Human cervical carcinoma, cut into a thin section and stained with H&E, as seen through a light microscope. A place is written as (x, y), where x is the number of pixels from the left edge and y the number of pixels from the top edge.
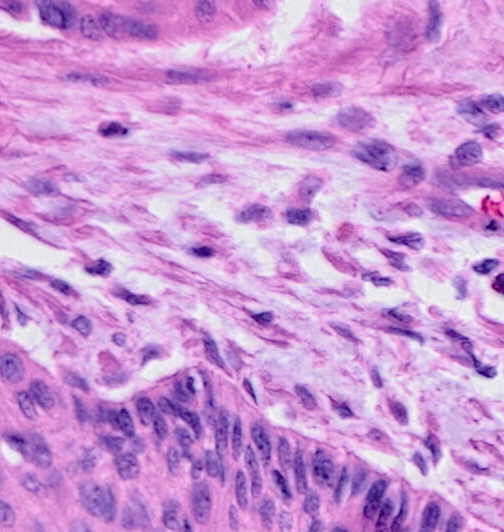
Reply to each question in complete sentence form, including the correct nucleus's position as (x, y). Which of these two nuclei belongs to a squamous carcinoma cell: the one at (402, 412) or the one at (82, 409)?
The one nucleus of the two that belongs to a squamous carcinoma cell is at (82, 409).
